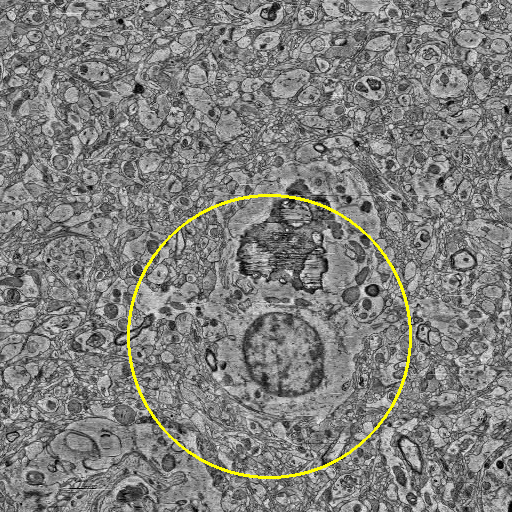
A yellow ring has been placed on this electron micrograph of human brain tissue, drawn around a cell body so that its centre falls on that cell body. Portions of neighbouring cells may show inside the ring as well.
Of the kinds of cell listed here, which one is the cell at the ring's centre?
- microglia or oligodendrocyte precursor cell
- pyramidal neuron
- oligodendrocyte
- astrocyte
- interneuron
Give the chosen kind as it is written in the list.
astrocyte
